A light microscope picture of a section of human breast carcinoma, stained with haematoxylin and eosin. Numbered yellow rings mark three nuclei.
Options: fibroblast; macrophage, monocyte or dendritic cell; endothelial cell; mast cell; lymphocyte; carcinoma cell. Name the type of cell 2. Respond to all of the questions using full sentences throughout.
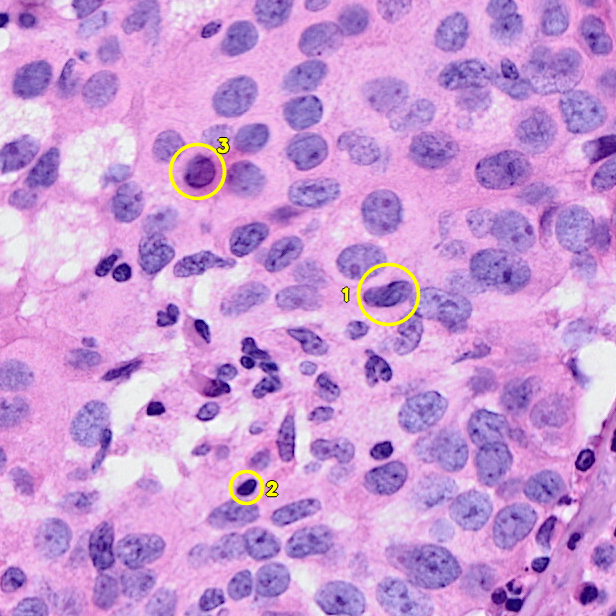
Regarding cell 2, this one is a lymphocyte.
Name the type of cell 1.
Number 1 among the marked cells is a carcinoma cell.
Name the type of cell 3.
The cell to which the number 3 is assigned is a carcinoma cell.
